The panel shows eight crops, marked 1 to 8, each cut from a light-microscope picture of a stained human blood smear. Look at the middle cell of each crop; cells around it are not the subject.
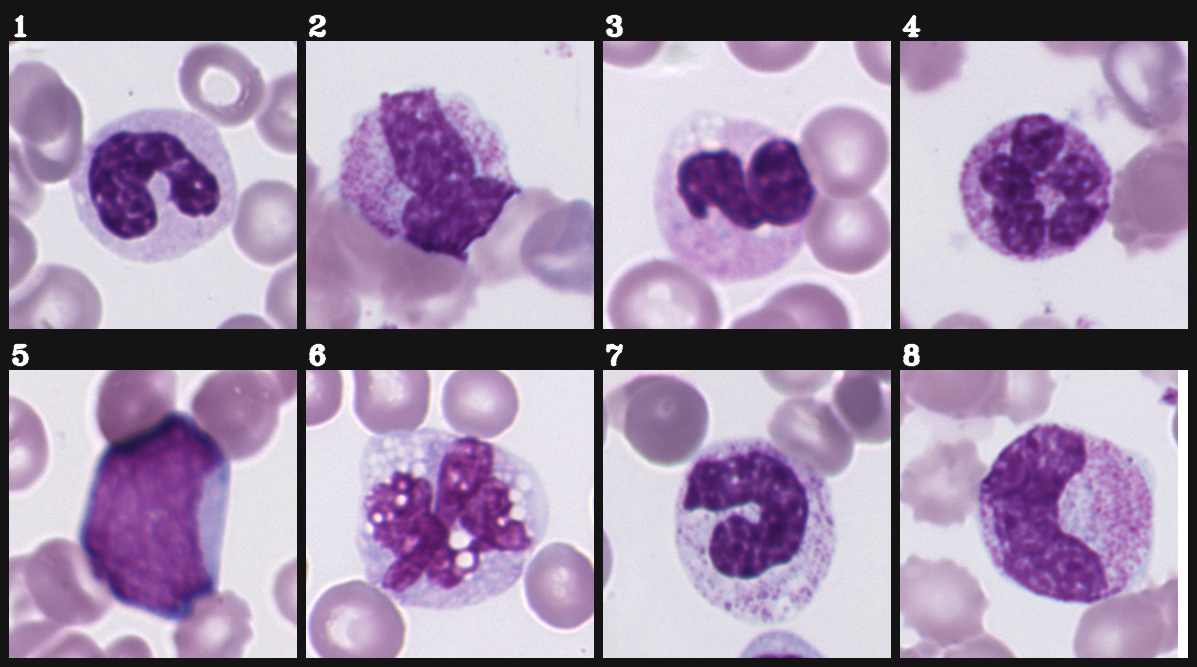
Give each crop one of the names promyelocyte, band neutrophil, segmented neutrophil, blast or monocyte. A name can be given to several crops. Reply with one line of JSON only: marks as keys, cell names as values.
{"1": "band neutrophil", "2": "band neutrophil", "3": "segmented neutrophil", "4": "segmented neutrophil", "5": "blast", "6": "monocyte", "7": "band neutrophil", "8": "band neutrophil"}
